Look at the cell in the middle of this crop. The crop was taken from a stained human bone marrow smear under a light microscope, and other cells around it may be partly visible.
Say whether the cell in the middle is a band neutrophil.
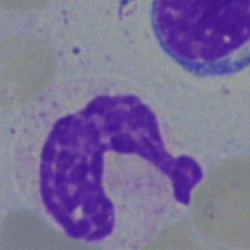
yes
